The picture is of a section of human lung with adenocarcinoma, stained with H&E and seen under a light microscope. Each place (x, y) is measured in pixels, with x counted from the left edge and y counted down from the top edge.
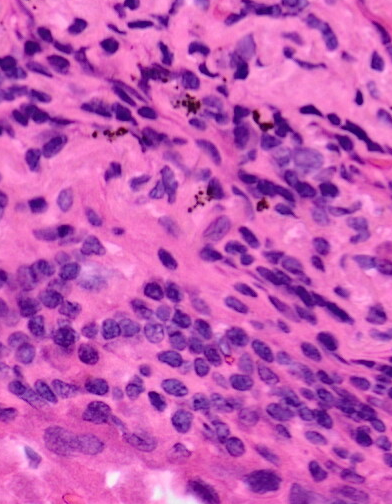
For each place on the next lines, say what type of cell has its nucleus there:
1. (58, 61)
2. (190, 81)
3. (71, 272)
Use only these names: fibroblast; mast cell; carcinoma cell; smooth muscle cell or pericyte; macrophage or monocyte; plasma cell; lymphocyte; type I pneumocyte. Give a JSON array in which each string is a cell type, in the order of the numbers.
["plasma cell", "lymphocyte", "lymphocyte"]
